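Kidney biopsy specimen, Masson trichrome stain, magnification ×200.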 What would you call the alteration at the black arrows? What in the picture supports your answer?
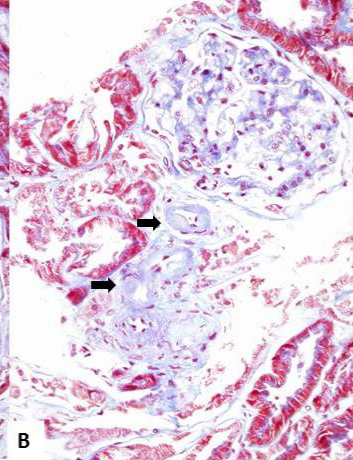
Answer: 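The arrows point to small round vessels whose walls are thickened. The thickened walls are pale, smooth and glassy, stained light blue, with few nuclei. That points to this answer: Arteriolar hyalinosis.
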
